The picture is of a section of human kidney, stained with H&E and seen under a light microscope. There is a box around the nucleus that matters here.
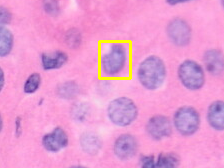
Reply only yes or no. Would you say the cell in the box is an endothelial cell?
no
